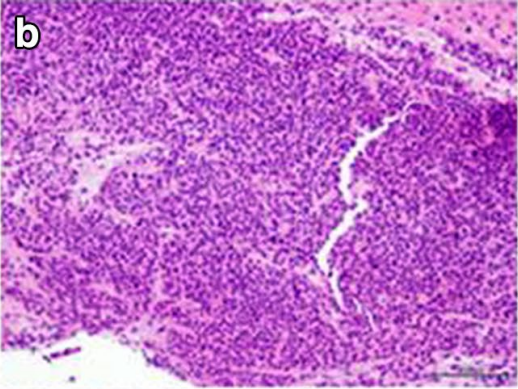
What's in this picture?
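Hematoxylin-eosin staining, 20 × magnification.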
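This section shows densely packed small cells arranged in broad, solid sheets. The nuclei are round to oval and stain dark purple-blue, while the cytoplasm around them is scant, so the field looks crowded with nuclei. A narrow, branching slit-like clear space crosses the cell sheet near the centre. At the upper edge lies paler, pinker tissue with fewer nuclei.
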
